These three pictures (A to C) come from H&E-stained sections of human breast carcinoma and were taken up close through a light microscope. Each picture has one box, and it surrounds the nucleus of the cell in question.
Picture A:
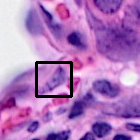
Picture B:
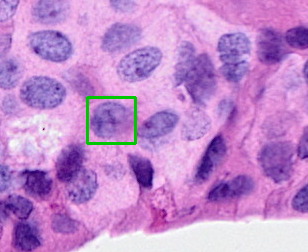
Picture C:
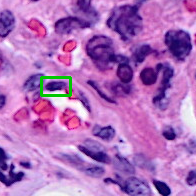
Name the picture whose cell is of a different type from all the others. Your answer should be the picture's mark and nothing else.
B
